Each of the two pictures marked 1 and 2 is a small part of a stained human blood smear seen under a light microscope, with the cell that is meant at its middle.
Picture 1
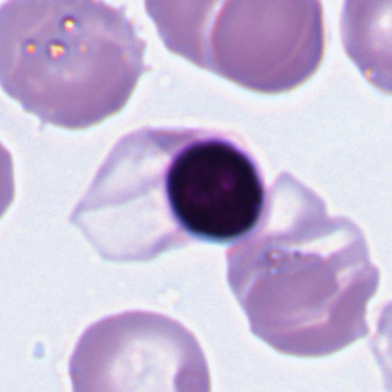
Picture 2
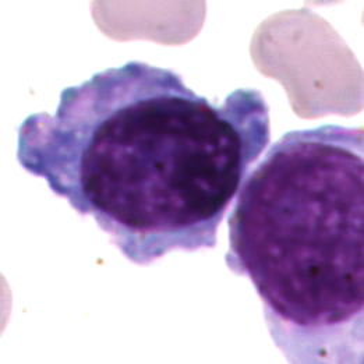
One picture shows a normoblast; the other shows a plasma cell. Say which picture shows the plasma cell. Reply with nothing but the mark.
2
